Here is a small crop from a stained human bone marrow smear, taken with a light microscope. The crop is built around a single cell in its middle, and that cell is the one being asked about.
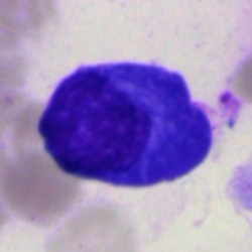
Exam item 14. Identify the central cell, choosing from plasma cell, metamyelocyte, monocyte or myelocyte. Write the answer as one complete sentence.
Here the centrally located cell is a plasma cell.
